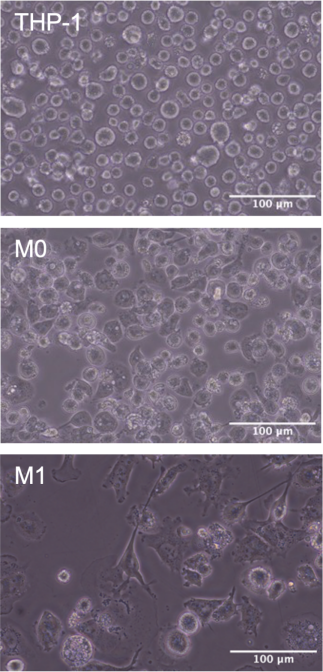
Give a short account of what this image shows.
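Three fields of cultured, unstained cells are shown one above the other. In the top field, the cells are small, round and refractile with bright halos, and lie separately, as cells in suspension do. In the middle field, the cells are more crowded and flattened, with irregular outlines and granular cytoplasm, and often touch one another in clusters. In the bottom field, the cells are sparser, and many are spread out and elongated, some spindle-shaped with long thin processes, while a few rounded cells remain. Together, the fields show round monocytic cells becoming flattened adherent macrophages and then elongated cells with processes.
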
